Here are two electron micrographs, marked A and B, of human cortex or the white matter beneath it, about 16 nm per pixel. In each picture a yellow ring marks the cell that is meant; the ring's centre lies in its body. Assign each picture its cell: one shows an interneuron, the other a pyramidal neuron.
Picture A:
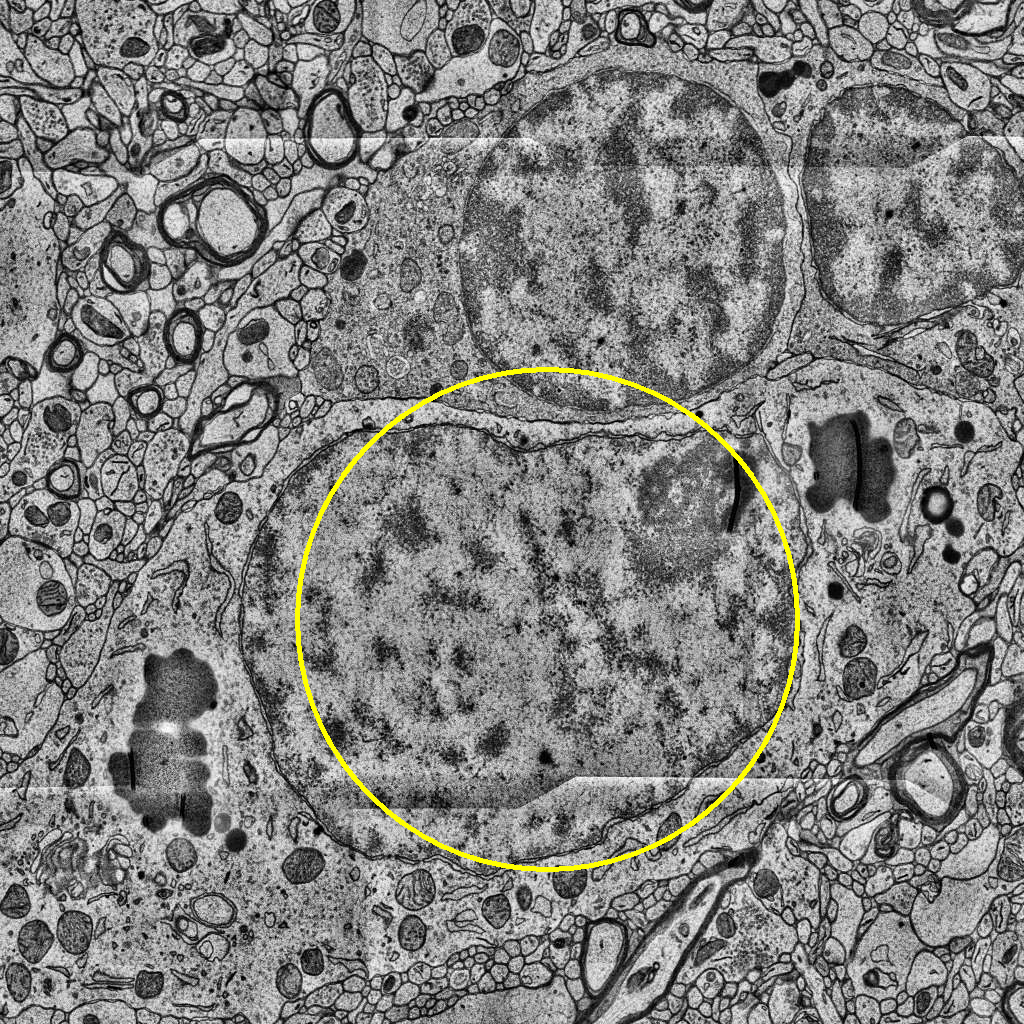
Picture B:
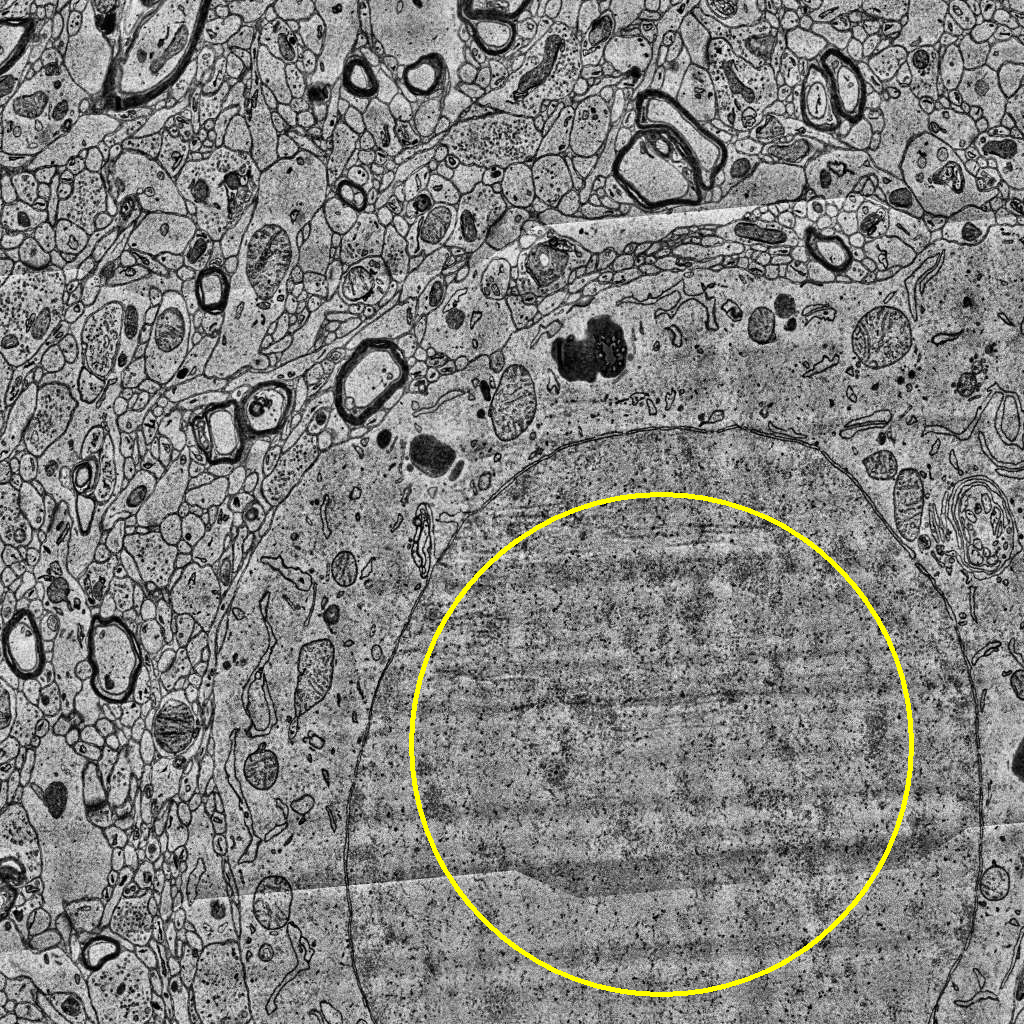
In picture A the cell is an interneuron; in picture B, a pyramidal neuron.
